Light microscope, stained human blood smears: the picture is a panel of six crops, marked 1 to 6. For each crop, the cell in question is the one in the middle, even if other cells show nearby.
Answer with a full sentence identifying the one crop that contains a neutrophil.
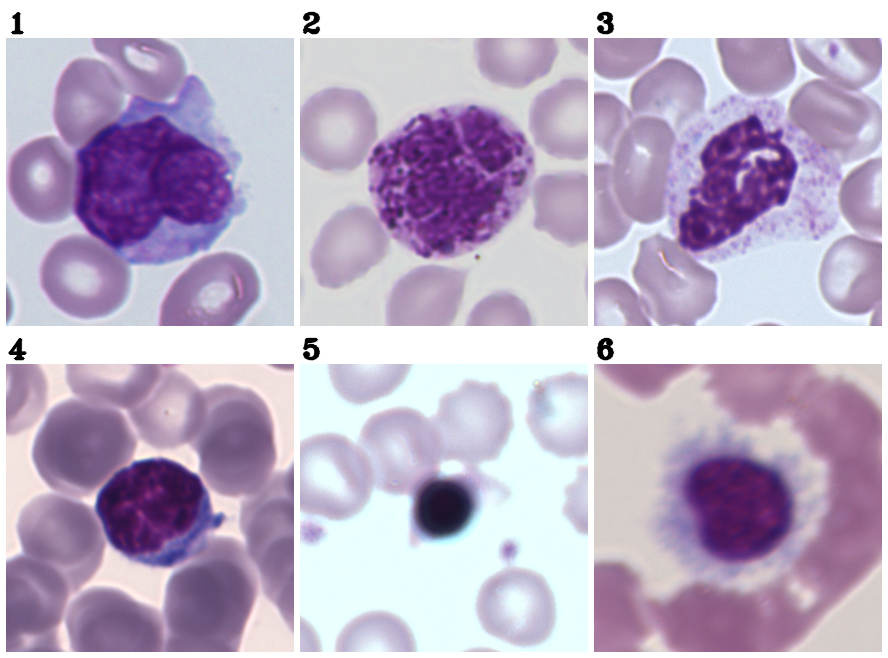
Among all the crops given here, the one with a neutrophil is crop 3.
